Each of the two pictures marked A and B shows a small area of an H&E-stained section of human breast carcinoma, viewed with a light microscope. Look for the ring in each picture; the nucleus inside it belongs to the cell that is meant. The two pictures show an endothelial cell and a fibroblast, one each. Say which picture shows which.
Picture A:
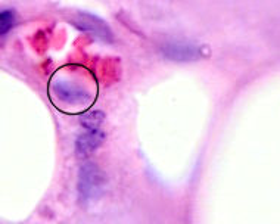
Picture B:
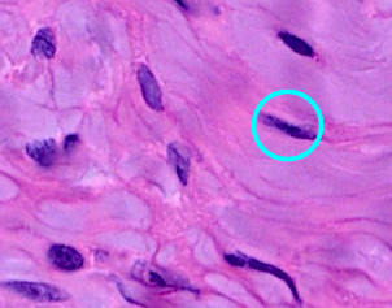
A: endothelial cell
B: fibroblast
